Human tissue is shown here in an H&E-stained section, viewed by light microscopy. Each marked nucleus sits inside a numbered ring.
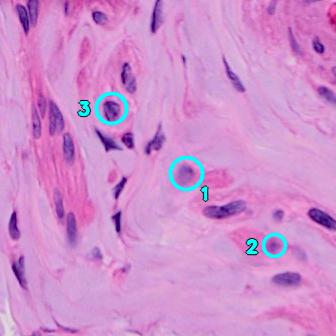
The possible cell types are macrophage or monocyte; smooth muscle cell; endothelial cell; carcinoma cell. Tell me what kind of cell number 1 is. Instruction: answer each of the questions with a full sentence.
Among the marked cells, number 1 is a smooth muscle cell.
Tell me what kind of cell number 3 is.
Number 3 is placed on an endothelial cell here.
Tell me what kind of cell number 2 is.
The cell that goes by number 2 is a smooth muscle cell.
